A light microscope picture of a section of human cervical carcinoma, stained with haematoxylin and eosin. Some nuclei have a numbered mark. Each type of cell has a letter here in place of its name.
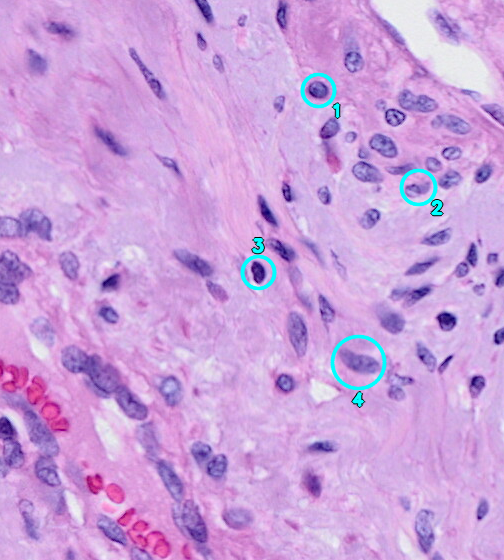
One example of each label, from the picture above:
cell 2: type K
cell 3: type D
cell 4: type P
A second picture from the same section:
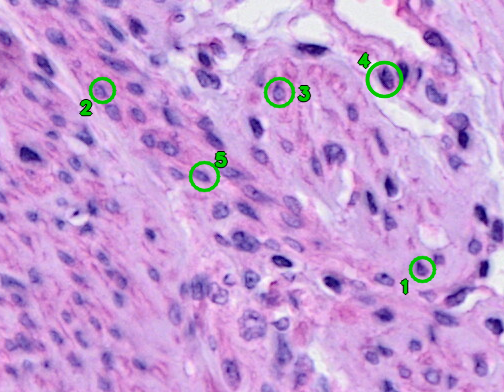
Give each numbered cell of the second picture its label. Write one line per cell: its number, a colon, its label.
1: type P
2: type K
3: type K
4: type D
5: type K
